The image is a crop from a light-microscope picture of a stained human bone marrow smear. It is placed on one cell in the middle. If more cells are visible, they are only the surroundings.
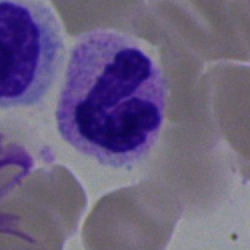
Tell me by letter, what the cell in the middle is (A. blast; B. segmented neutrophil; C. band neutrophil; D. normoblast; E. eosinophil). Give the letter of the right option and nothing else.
B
